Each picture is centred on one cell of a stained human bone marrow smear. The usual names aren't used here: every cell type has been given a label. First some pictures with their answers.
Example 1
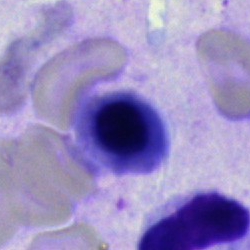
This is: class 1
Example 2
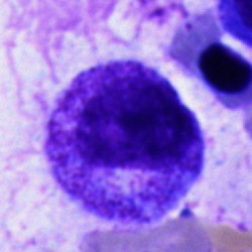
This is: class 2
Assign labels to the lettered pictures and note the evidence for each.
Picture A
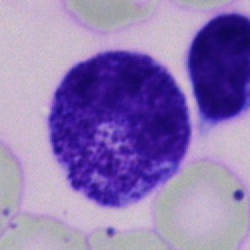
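Label: class 2. The cell is densely packed with coarse dark purple granules.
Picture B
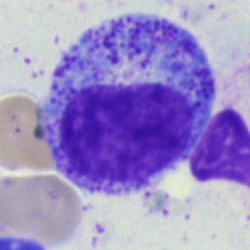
Label: class 2. The cytoplasm holds many dark purple granules.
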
